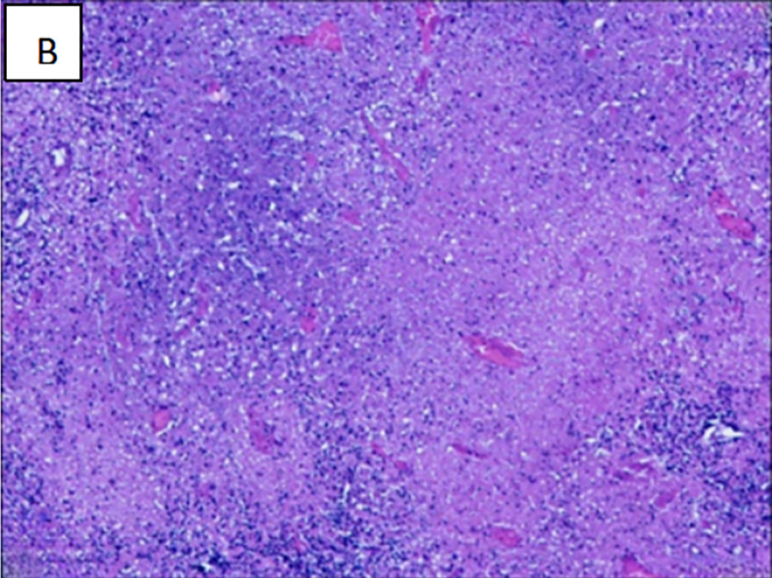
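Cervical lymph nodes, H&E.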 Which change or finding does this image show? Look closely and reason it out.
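Broad pink areas with sparse, scattered nuclear debris. Denser blue cellular areas lie around the pink areas. On this evidence: necrotic foci.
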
